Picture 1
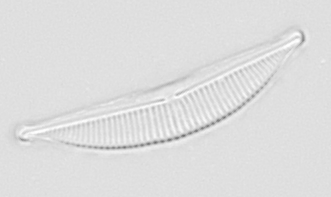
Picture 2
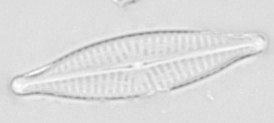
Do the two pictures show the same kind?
No: Halamphora, then Navicula.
